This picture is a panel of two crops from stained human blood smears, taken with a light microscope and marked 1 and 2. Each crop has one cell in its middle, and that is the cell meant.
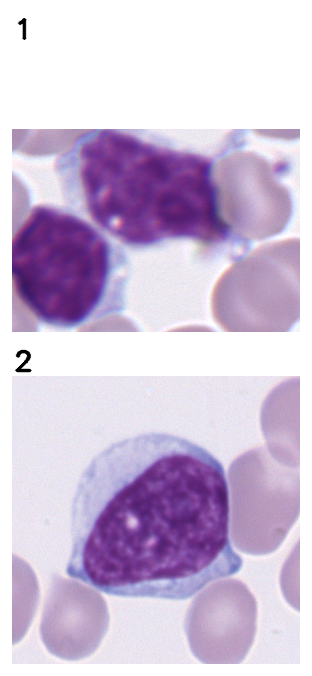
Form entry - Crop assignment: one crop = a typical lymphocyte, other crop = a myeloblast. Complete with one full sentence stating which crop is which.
Crop 1 is a typical lymphocyte, with crop 2 being a myeloblast.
